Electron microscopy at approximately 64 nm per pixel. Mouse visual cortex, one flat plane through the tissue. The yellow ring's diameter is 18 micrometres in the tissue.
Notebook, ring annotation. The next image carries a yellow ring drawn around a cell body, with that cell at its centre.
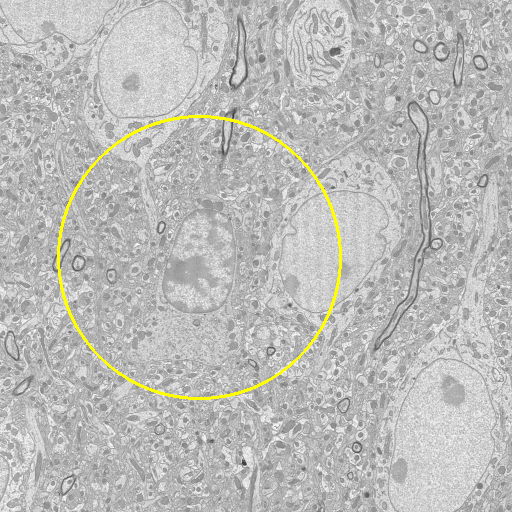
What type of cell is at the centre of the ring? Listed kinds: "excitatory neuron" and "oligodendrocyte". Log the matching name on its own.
oligodendrocyte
